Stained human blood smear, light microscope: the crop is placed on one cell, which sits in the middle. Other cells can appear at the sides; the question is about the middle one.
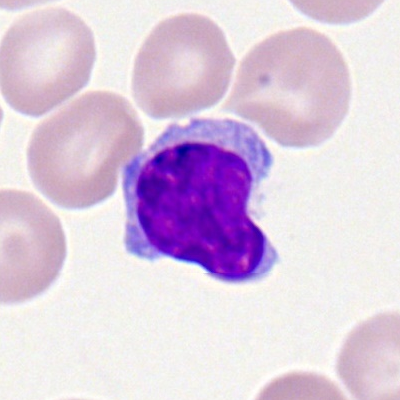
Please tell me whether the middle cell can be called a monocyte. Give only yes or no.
no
